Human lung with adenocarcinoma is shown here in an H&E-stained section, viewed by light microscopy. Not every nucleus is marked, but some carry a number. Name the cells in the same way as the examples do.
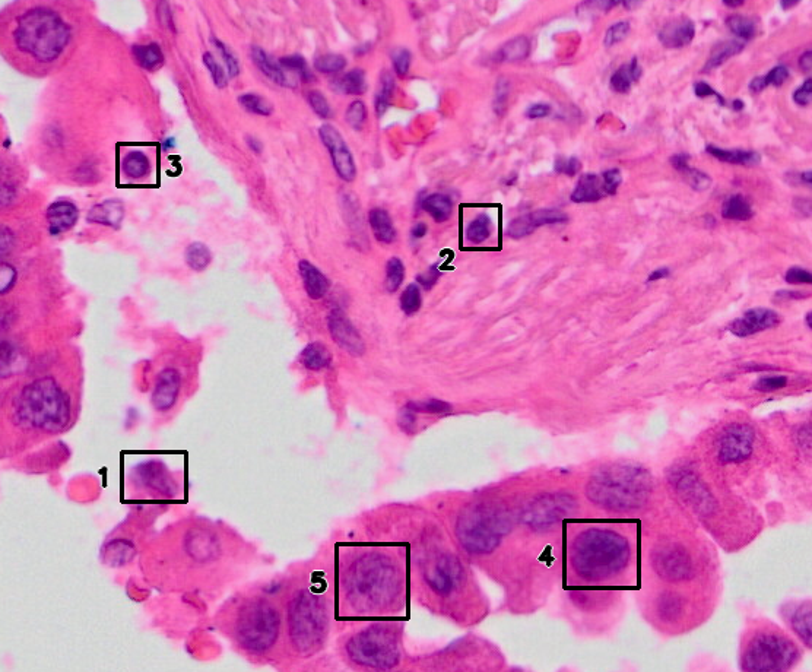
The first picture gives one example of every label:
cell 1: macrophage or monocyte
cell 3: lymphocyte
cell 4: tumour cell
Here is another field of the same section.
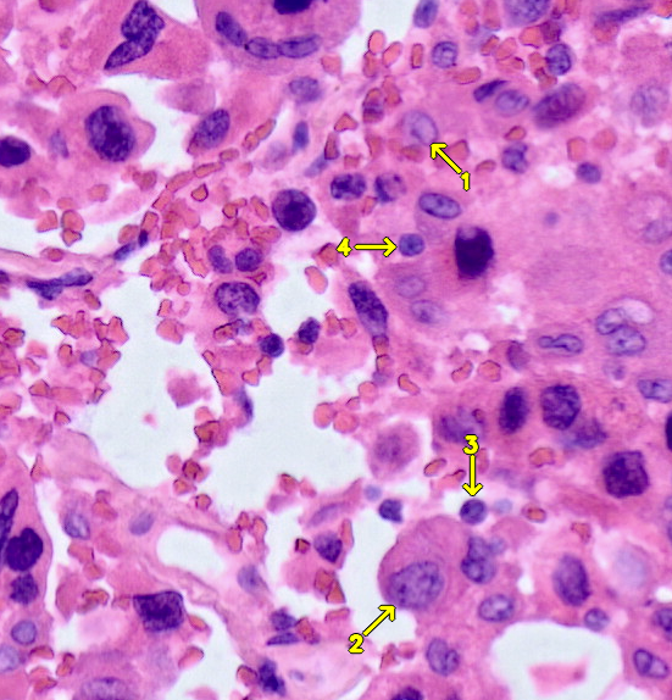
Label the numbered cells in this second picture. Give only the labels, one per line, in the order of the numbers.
macrophage or monocyte
tumour cell
lymphocyte
lymphocyte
